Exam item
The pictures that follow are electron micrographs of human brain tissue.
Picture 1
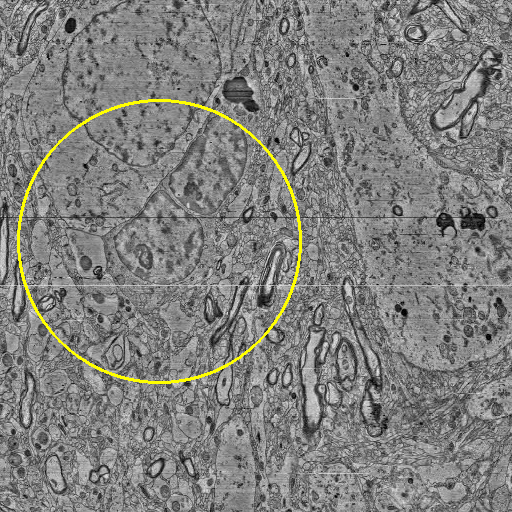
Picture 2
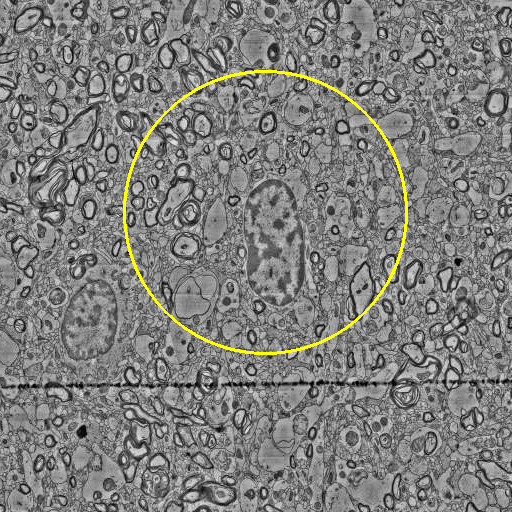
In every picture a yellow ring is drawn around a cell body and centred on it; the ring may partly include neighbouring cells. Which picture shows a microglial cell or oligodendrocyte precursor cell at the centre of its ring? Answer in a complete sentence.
The cell at the centre of the ring in Picture 2 is the one asked for.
